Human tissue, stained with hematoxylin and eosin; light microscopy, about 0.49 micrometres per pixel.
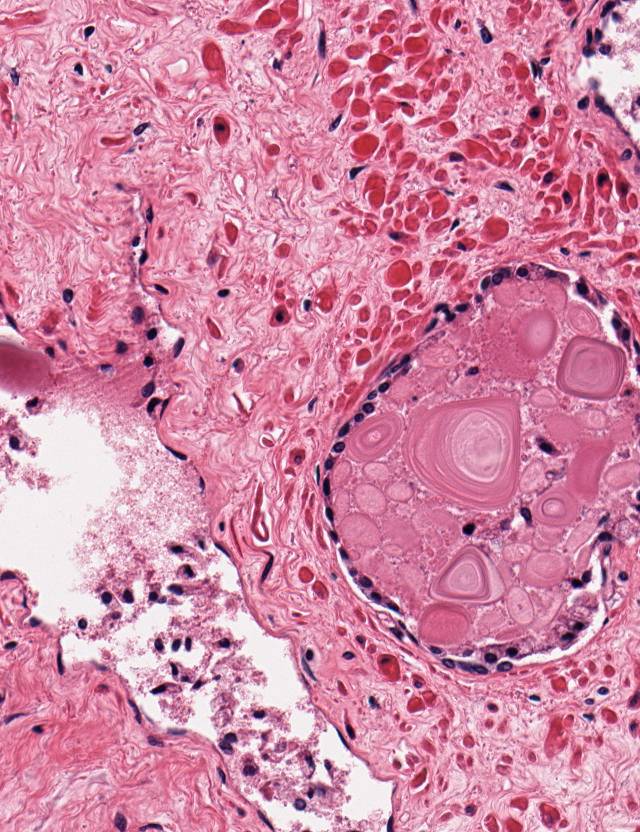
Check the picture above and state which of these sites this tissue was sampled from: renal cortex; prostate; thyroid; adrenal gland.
prostate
